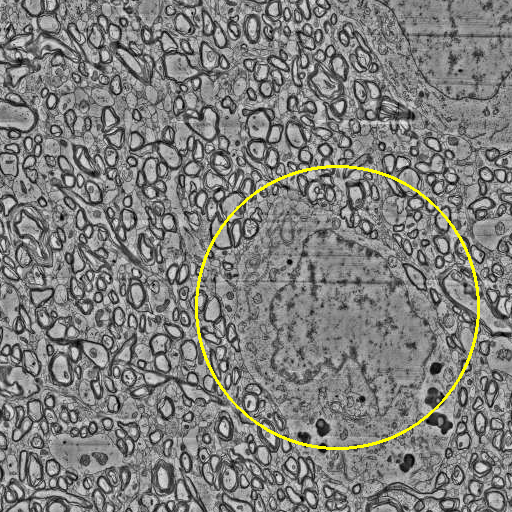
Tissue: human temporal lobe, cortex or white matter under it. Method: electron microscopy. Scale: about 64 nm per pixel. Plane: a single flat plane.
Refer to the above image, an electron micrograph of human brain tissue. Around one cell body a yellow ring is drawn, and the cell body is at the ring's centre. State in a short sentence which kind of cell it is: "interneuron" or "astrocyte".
The centre of the ring falls on an interneuron.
